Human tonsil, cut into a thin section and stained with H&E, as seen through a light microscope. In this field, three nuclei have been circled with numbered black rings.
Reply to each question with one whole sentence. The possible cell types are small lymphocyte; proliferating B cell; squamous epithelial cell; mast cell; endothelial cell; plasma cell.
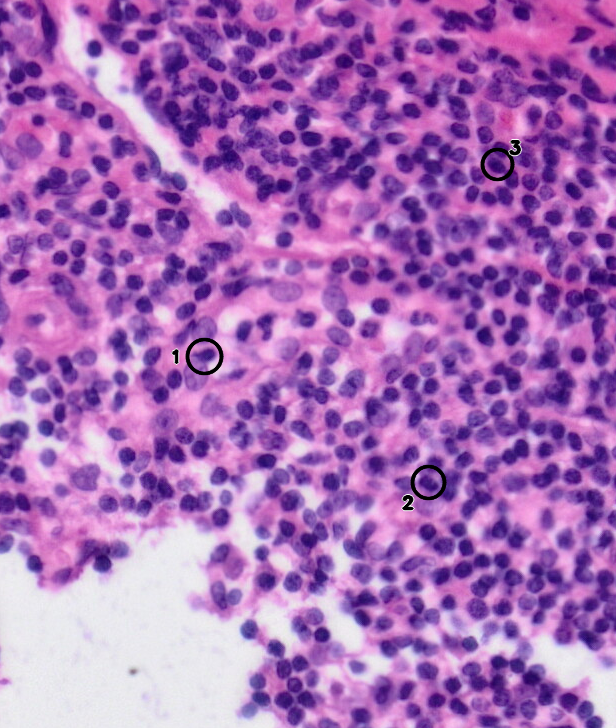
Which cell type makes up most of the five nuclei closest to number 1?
Around number 1, most of the five nearest nuclei are those of endothelial cells.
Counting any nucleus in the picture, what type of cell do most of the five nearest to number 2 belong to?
Of the five nuclei nearest to number 2, most belong to small lymphocytes.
